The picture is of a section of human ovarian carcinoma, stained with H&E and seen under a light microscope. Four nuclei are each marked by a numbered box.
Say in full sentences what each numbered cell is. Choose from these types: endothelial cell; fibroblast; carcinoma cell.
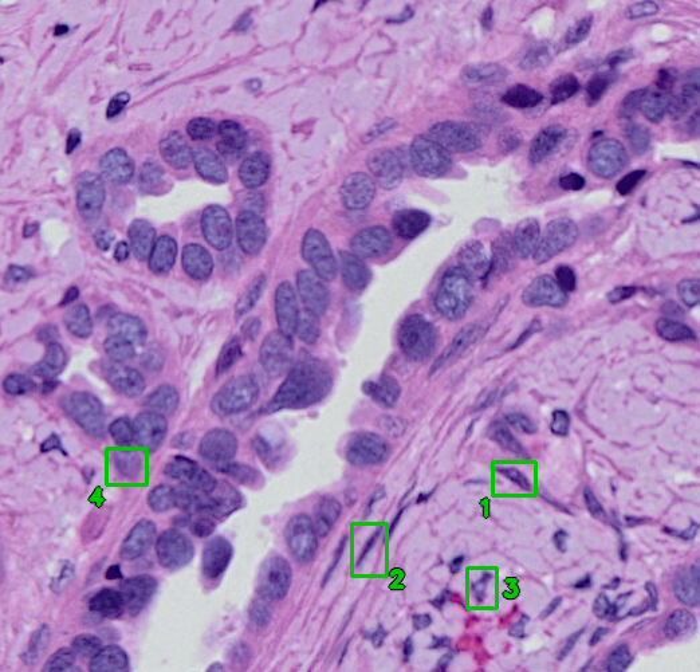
Cells 1, 2 and 3 are fibroblasts. Cell 4 is a carcinoma cell.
